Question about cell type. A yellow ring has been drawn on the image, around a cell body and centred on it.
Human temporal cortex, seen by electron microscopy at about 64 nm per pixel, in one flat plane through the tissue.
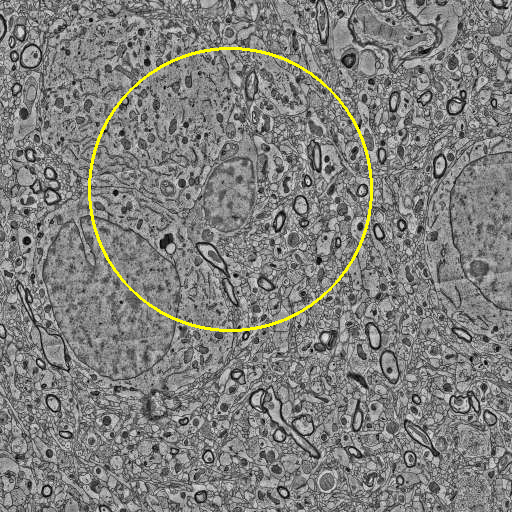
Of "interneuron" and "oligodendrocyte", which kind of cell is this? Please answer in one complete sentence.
At the centre of the ring lies an oligodendrocyte.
